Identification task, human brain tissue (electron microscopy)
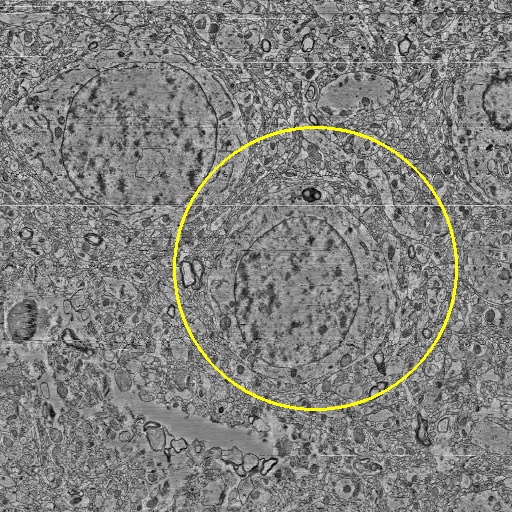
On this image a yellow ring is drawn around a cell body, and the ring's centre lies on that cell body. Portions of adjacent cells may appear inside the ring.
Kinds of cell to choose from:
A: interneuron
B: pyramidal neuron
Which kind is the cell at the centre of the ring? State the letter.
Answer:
B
